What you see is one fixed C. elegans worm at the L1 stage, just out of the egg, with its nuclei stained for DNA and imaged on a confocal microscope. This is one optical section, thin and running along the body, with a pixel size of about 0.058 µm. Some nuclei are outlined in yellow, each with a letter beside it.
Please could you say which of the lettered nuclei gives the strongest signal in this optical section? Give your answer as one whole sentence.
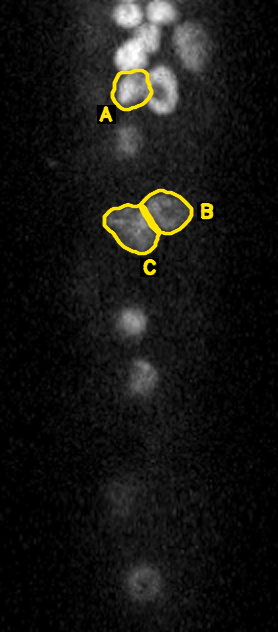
Of the marked nuclei, A takes up the stain most strongly.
